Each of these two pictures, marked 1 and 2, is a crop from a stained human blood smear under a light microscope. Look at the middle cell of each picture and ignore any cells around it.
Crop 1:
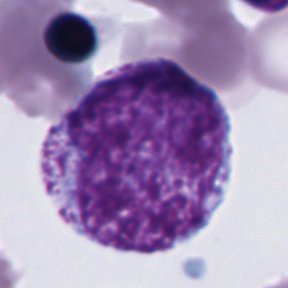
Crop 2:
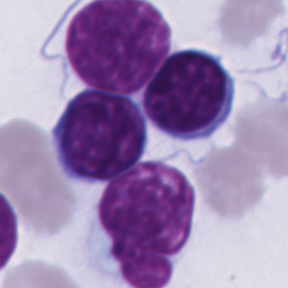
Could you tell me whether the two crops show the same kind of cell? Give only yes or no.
no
